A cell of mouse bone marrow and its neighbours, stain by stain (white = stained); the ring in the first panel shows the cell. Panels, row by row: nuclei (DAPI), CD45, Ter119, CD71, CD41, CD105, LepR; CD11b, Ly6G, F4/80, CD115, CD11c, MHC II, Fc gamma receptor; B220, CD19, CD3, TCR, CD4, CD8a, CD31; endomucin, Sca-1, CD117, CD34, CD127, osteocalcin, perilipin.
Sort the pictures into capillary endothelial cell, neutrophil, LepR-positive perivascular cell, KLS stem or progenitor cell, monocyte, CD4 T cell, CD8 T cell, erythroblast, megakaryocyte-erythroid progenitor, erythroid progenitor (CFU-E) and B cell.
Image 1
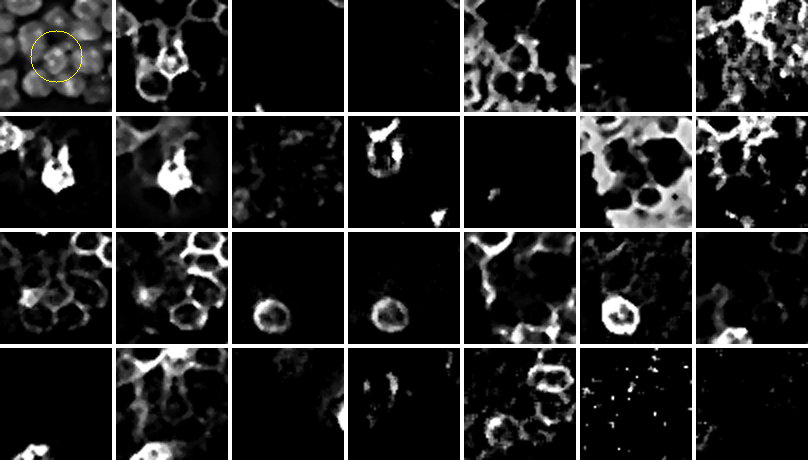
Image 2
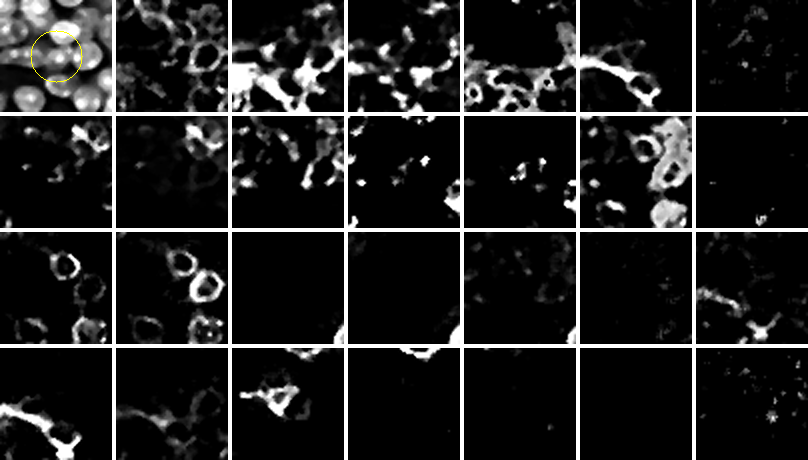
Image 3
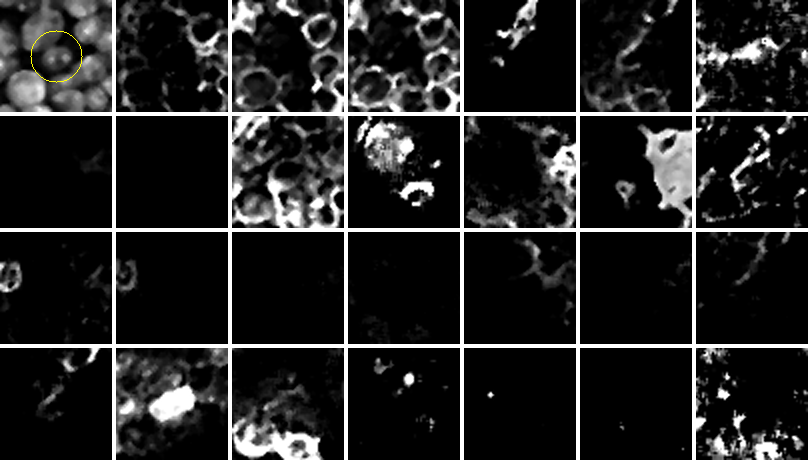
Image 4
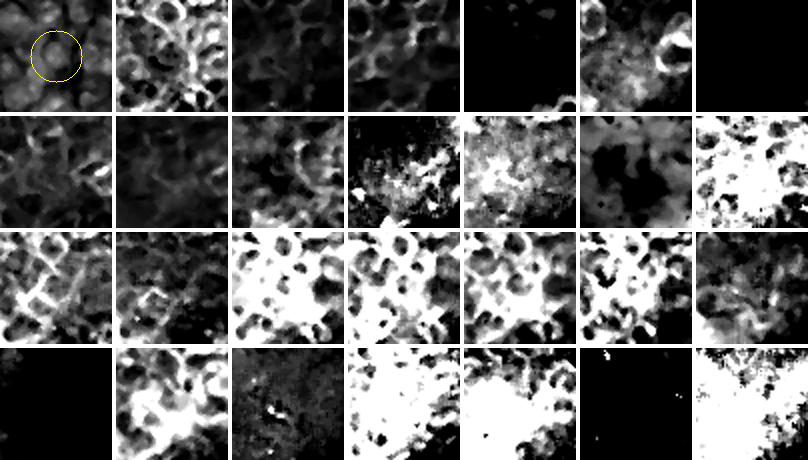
Neutrophils: 1
Megakaryocyte-erythroid progenitors: 2
LepR-positive perivascular cells: 3
Erythroid progenitors (CFU-E): 4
